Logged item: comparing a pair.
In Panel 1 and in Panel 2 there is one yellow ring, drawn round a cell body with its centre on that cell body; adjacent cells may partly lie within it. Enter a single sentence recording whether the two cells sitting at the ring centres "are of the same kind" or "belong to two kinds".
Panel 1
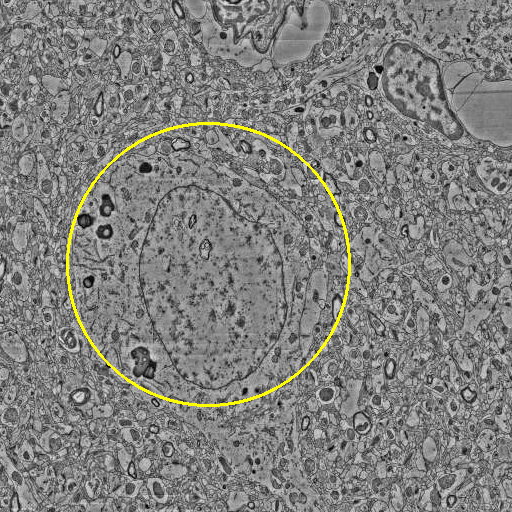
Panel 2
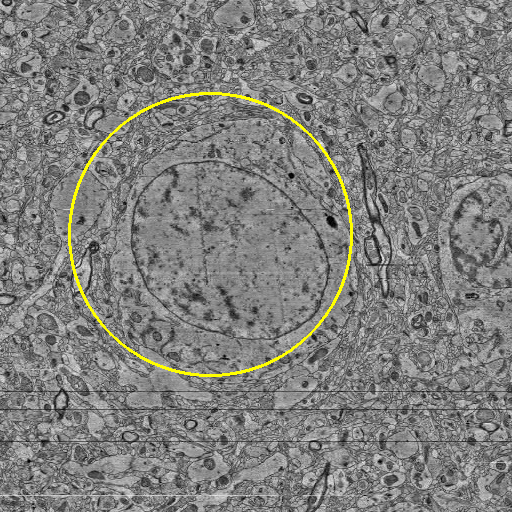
Logged: the cells centred in the rings of Panel 1 and Panel 2 are of the same kind.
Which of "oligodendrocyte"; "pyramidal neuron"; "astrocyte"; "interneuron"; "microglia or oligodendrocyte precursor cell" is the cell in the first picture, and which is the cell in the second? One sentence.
In each of the two pictures, the ringed cell is a pyramidal neuron.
